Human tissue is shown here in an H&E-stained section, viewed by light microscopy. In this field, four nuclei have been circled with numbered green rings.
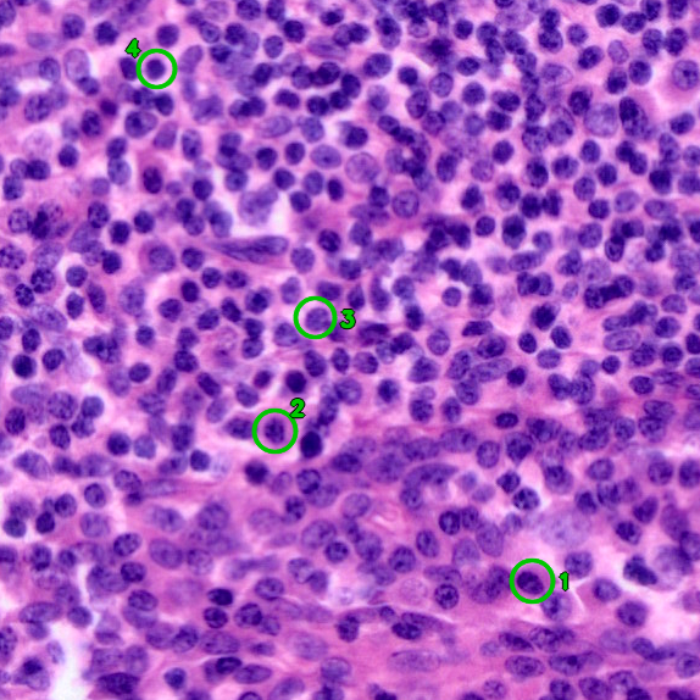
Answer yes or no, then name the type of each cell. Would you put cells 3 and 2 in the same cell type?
No, cell 2 is a plasma cell, while cell 3 is a small lymphocyte.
